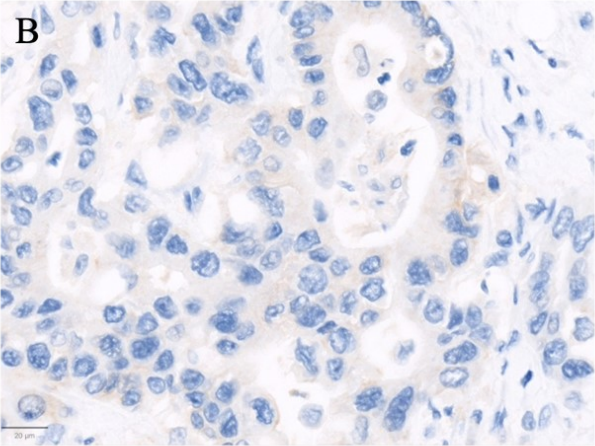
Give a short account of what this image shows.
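Sheets and small glands of atypical epithelial cells fill the field, with large round to oval vesicular nuclei, some with visible nucleoli, and pale cytoplasm. Several small irregular lumens are lined by these cells, and a few thin stromal nuclei lie at the right edge. Only a faint, patchy tan tint touches parts of the cell borders, without complete outlines.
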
